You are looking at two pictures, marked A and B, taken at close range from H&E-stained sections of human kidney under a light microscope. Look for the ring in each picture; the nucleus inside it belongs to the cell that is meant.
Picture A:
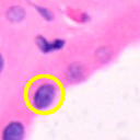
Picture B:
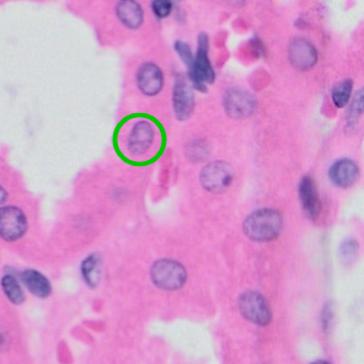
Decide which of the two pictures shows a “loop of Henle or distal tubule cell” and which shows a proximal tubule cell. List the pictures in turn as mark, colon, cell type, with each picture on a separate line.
A: loop of Henle or distal tubule cell
B: proximal tubule cell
